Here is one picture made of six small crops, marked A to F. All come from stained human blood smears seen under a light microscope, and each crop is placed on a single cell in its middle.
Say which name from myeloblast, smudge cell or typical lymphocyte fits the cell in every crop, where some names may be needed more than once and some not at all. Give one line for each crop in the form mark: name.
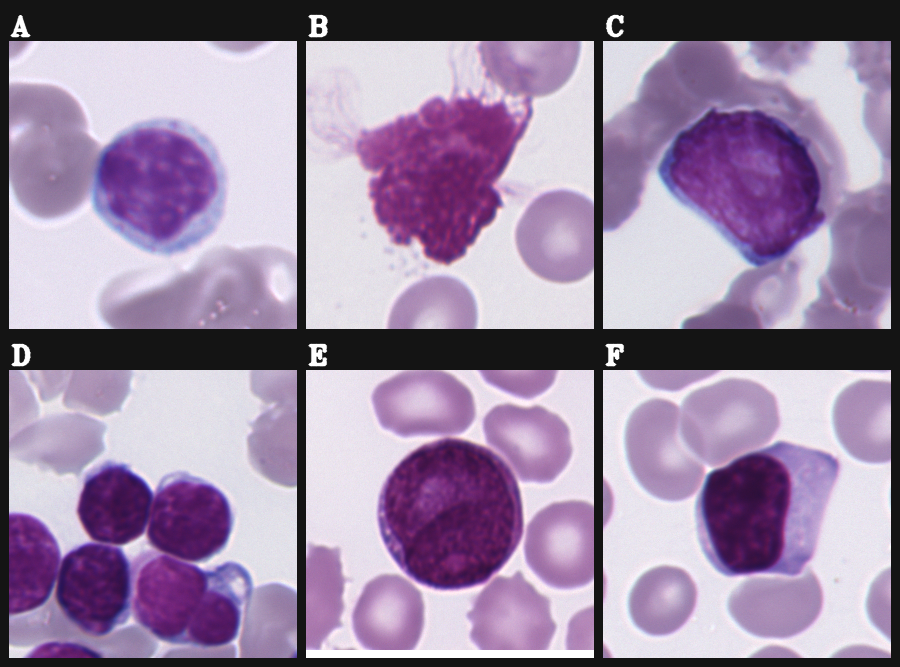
A: typical lymphocyte
B: smudge cell
C: myeloblast
D: myeloblast
E: myeloblast
F: typical lymphocyte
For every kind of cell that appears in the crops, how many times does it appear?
myeloblast: 3
typical lymphocyte: 2
smudge cell: 1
